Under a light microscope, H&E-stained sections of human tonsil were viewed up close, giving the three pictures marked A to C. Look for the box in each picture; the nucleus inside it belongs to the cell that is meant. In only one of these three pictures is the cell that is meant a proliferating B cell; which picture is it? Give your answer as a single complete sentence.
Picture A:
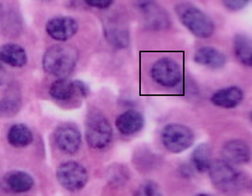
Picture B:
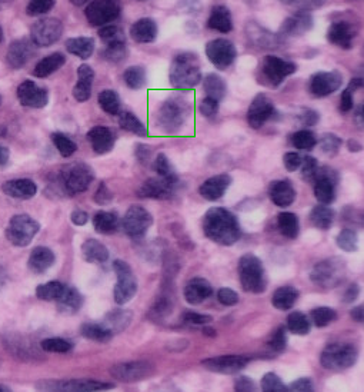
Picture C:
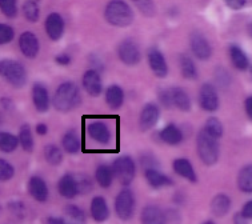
The picture with the proliferating B cell is B.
